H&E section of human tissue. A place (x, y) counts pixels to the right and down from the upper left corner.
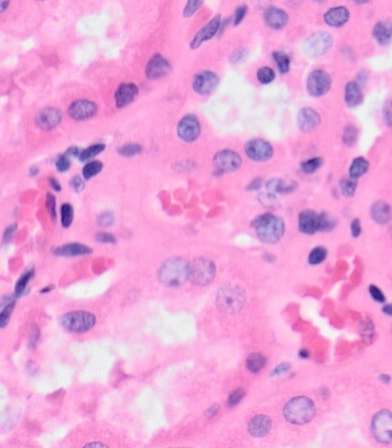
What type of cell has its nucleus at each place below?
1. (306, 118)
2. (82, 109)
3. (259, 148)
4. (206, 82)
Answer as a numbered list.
1. loop of Henle or distal tubule cell
2. proximal tubule cell
3. loop of Henle or distal tubule cell
4. loop of Henle or distal tubule cell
